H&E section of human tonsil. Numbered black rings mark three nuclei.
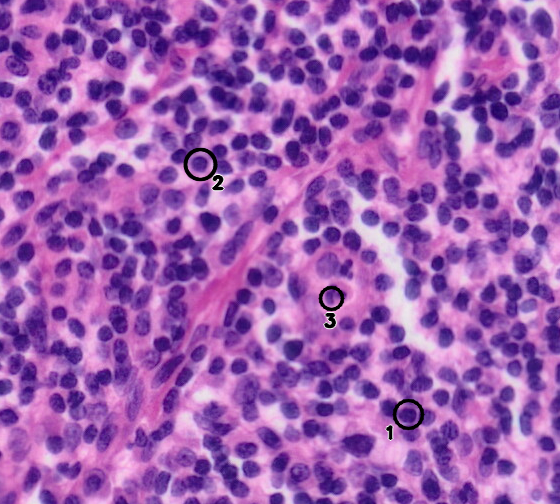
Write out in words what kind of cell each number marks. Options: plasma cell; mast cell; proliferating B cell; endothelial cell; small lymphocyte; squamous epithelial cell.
Cell 1 is a small lymphocyte, cell 2 is a small lymphocyte and cell 3 is an endothelial cell.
